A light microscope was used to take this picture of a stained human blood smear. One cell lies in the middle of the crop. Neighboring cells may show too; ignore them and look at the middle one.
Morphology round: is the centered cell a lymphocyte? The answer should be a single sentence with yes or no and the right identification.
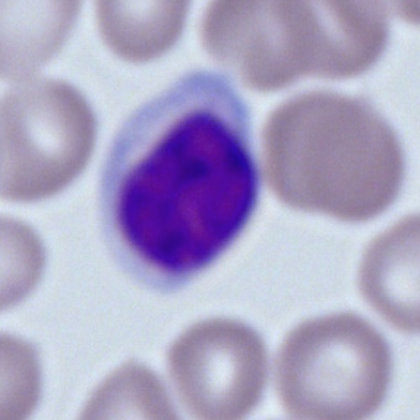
Yes, the cell placed centrally within the crop is a lymphocyte.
